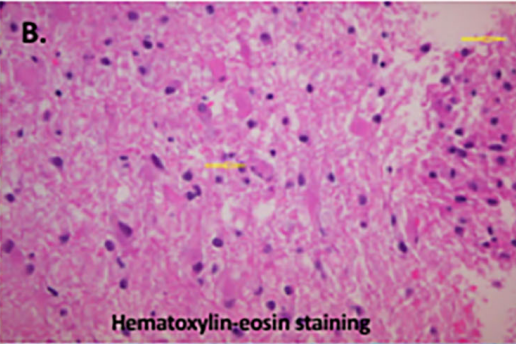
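This is brain tissue stained pink and purple, with a loose, pale pink fibrillary background in which cells lie scattered. Toward one edge the tissue is much more crowded with nuclei, where dense infiltrates gather. The contrast between the loose, rarefied parenchyma and the packed infiltrated area is easy to see at this magnification.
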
